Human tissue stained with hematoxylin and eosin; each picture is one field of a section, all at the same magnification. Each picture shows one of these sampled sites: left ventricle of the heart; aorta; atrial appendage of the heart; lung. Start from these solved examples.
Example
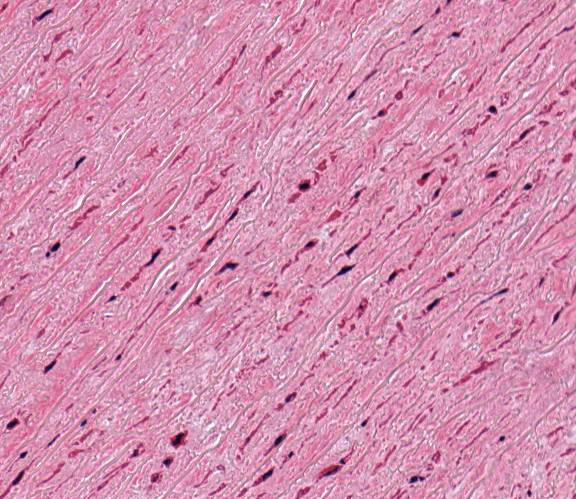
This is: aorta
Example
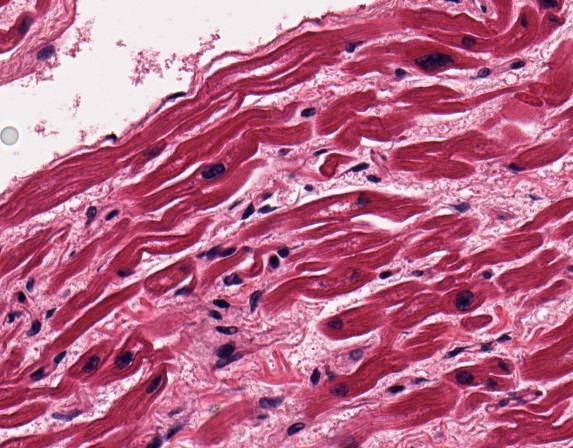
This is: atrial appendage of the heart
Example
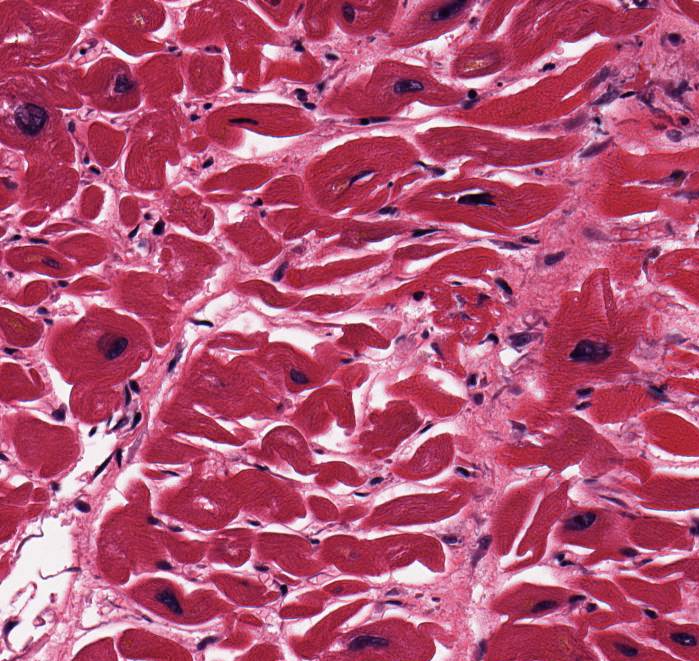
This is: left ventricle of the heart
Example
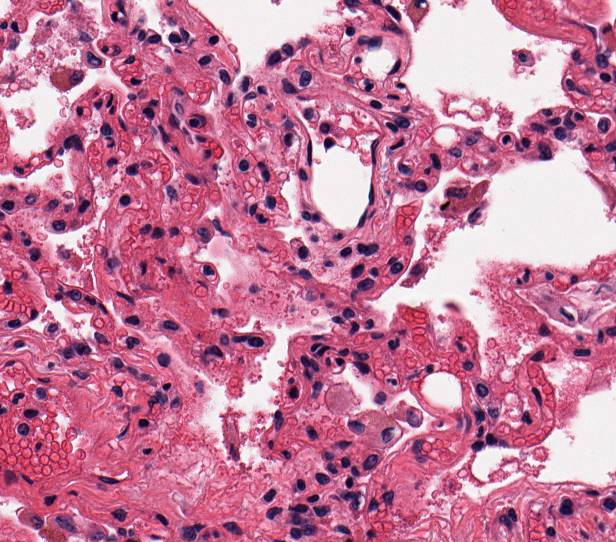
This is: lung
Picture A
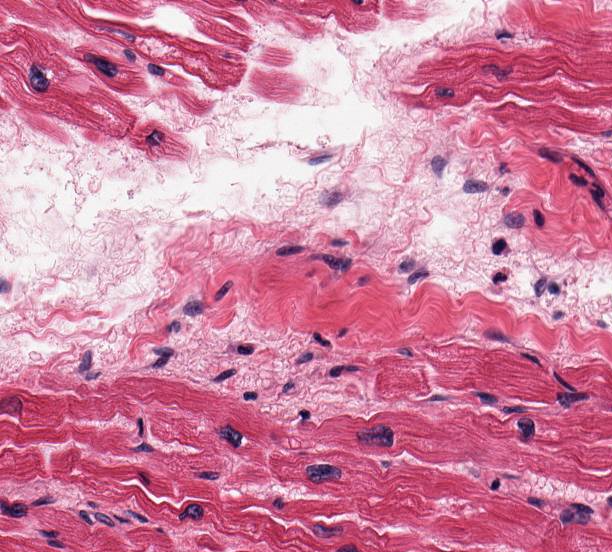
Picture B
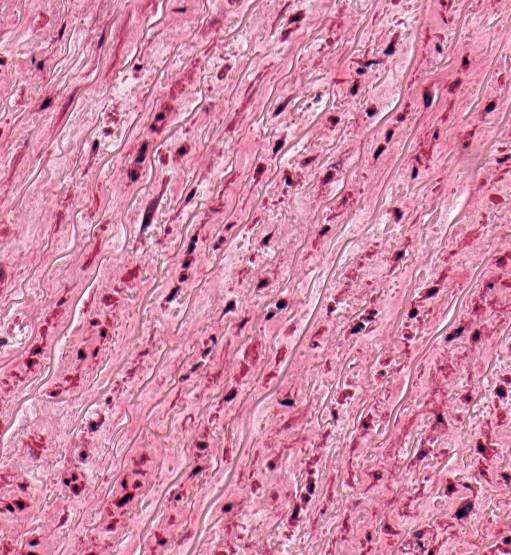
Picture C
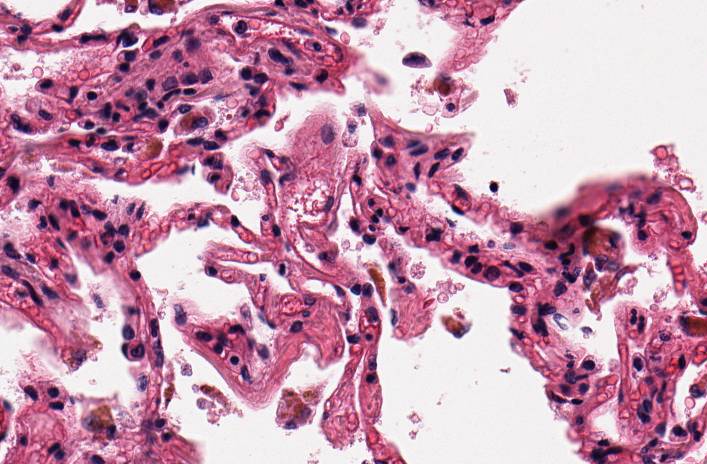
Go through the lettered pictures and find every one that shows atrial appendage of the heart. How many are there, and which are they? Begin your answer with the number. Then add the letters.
1, namely A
